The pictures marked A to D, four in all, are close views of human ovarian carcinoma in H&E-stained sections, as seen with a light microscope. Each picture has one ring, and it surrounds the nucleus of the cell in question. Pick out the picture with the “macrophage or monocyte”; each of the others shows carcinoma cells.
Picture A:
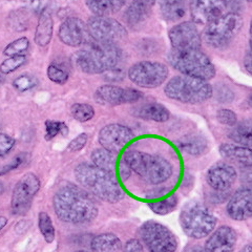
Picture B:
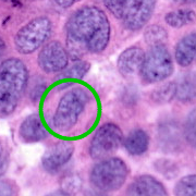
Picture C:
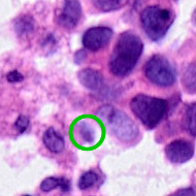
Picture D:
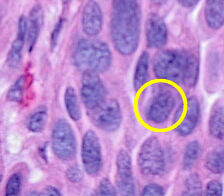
C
